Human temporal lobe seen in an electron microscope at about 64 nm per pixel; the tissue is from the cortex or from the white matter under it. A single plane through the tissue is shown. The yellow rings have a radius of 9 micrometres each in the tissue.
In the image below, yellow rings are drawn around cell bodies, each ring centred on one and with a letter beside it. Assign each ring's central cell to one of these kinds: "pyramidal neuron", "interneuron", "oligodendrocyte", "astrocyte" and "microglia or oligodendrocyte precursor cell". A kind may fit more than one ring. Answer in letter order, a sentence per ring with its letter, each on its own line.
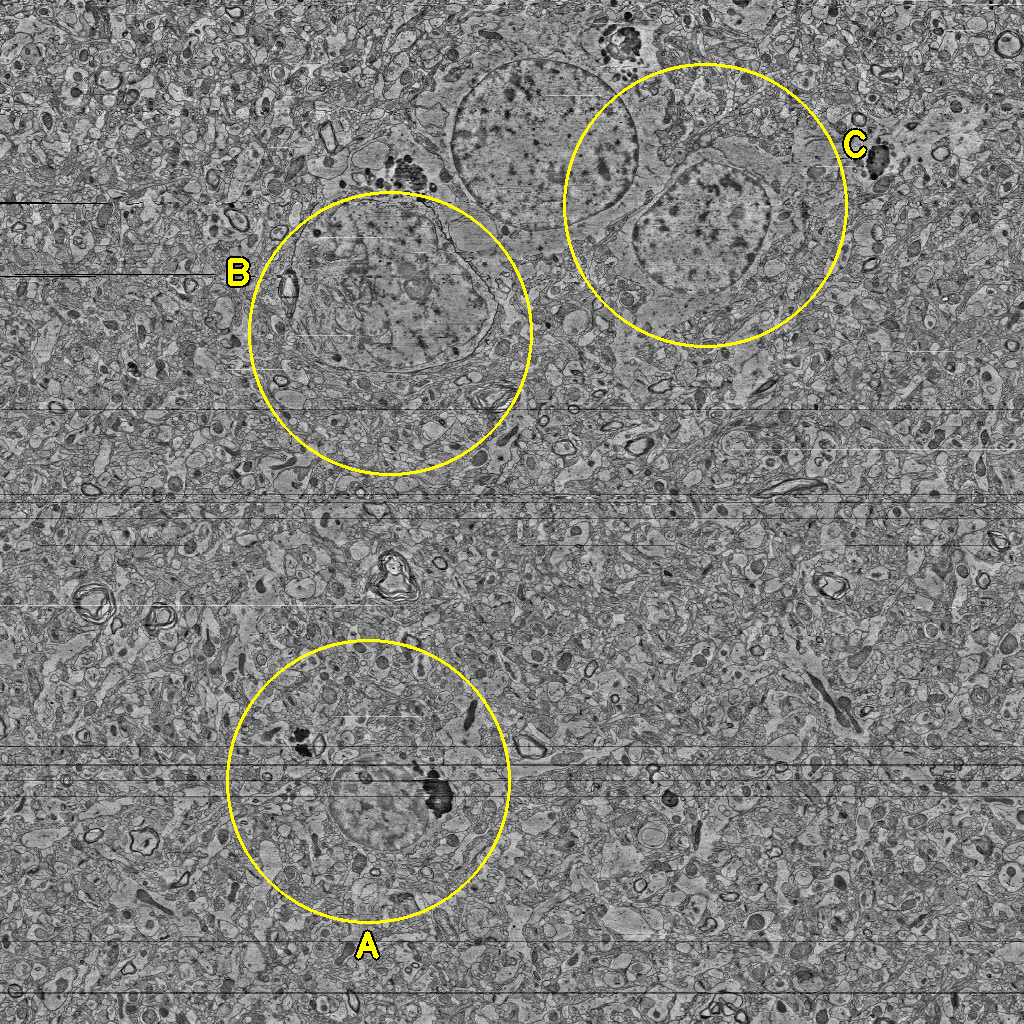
The central cell of ring A is an oligodendrocyte.
The central cell of ring B is an interneuron.
The central cell of ring C is an astrocyte.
